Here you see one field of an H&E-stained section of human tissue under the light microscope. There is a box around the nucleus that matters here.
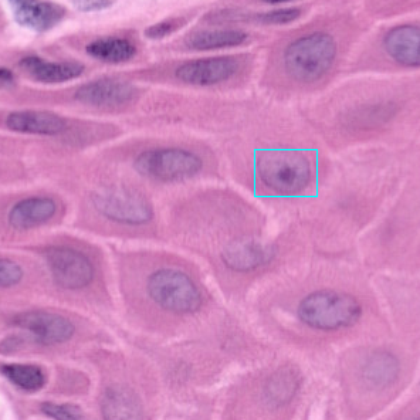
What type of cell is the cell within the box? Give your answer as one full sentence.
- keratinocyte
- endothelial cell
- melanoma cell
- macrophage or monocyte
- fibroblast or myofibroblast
In terms of identity, the cell within the box is a keratinocyte.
